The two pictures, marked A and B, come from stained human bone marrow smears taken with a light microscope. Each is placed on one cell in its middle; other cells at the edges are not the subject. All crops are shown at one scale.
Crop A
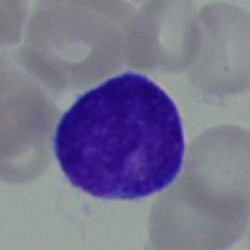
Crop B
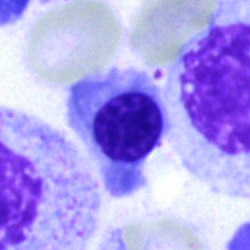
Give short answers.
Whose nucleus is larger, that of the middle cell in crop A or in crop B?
A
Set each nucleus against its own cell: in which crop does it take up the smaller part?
B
